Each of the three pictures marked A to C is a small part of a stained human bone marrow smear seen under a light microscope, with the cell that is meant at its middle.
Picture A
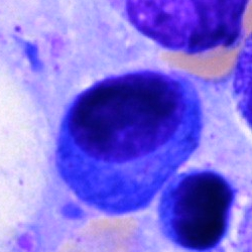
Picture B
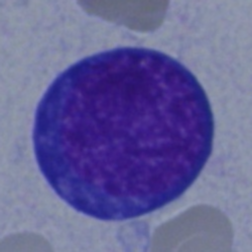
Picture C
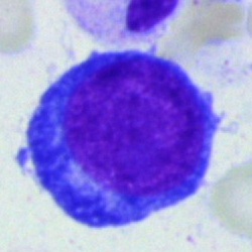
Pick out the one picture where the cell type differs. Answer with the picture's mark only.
A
